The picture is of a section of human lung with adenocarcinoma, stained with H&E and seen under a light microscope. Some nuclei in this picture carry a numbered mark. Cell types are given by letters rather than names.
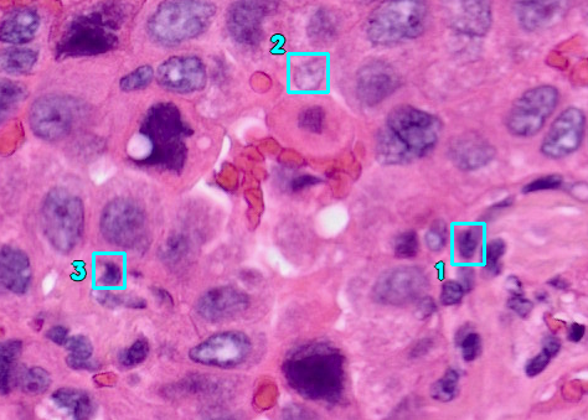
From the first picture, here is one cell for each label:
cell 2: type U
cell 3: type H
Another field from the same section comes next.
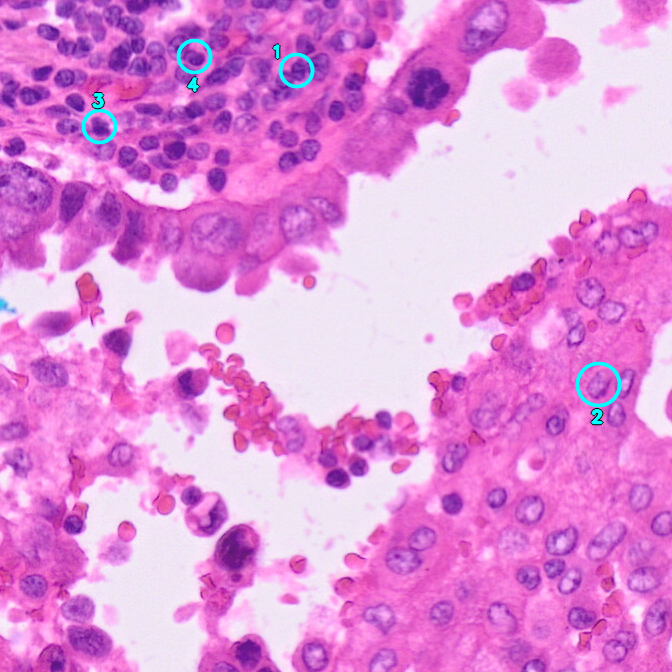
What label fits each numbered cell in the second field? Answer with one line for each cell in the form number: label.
1: type H
2: type U
3: type H
4: type H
